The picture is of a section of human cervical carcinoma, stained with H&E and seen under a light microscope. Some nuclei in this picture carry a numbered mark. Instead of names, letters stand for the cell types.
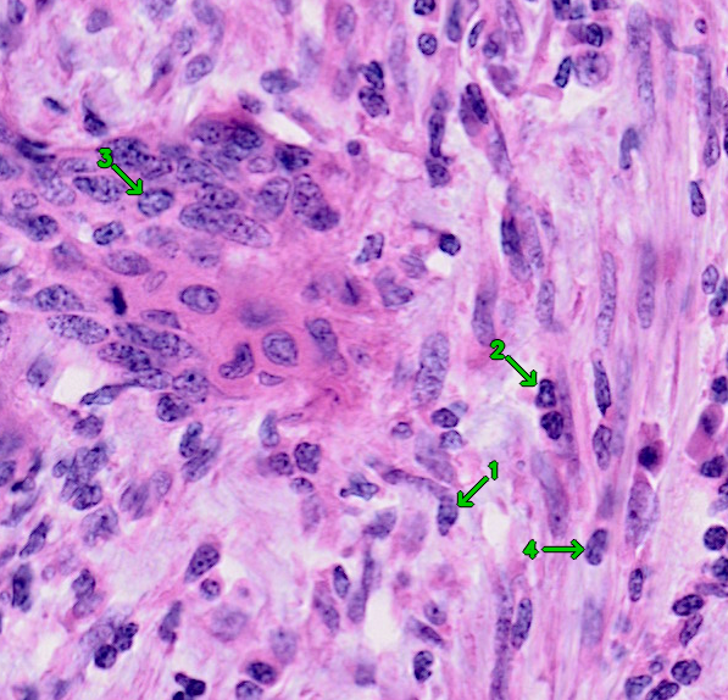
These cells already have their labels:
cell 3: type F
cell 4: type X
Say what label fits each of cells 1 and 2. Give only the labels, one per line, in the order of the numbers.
type X
type X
